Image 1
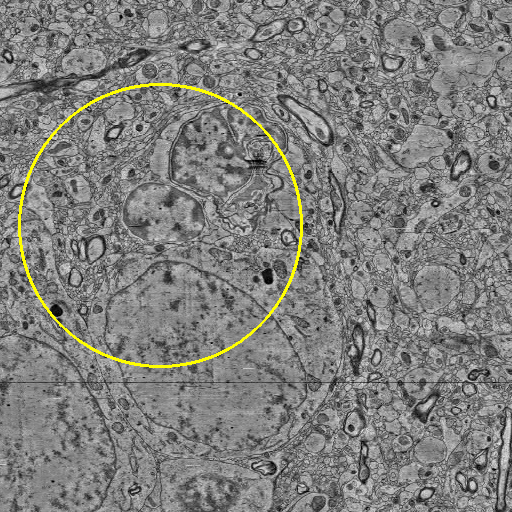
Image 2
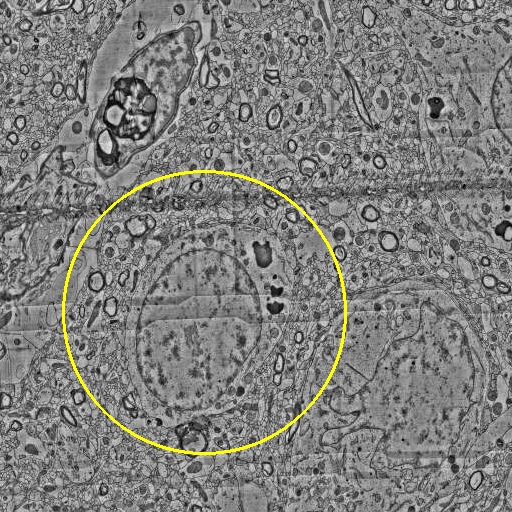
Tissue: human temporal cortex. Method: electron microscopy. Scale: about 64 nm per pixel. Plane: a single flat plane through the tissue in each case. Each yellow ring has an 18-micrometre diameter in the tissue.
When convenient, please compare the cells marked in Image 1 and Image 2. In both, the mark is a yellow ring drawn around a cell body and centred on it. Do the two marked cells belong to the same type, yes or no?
no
